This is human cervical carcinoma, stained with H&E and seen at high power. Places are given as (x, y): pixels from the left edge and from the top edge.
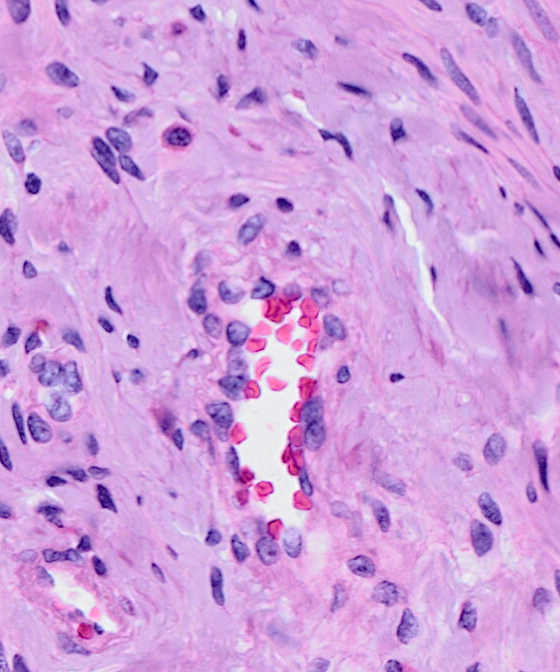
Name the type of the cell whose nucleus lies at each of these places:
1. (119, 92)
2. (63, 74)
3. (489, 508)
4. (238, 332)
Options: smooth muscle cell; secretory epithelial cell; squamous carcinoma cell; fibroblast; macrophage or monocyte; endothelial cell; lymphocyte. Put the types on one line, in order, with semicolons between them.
fibroblast; fibroblast; fibroblast; endothelial cell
